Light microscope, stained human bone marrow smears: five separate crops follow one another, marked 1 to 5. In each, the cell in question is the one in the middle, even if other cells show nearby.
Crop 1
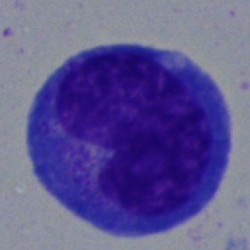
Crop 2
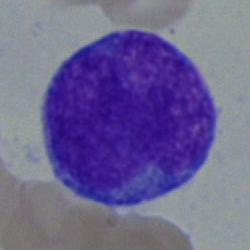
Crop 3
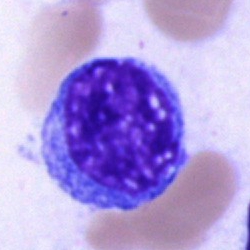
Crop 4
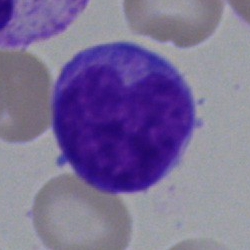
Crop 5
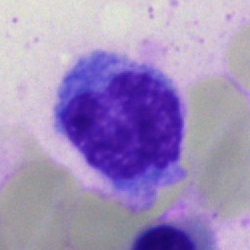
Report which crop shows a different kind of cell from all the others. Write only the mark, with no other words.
5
